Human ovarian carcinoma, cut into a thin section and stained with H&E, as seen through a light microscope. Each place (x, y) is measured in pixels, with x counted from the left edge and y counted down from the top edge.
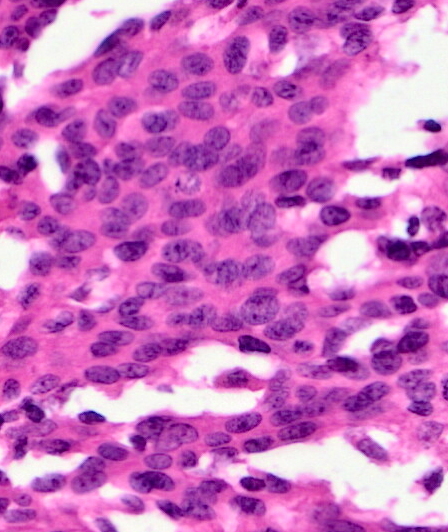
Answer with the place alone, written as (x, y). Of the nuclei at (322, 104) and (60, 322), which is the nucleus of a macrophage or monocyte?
(60, 322)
